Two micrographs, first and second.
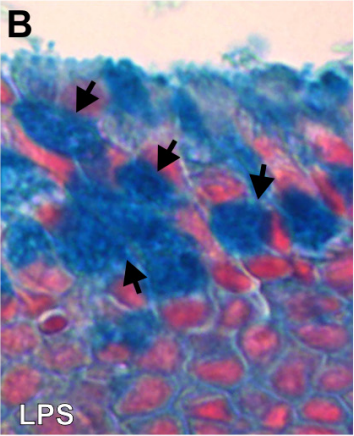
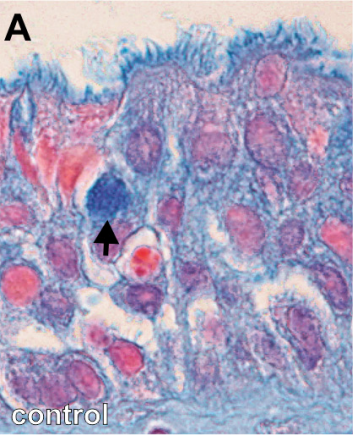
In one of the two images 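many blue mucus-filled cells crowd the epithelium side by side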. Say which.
the first image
